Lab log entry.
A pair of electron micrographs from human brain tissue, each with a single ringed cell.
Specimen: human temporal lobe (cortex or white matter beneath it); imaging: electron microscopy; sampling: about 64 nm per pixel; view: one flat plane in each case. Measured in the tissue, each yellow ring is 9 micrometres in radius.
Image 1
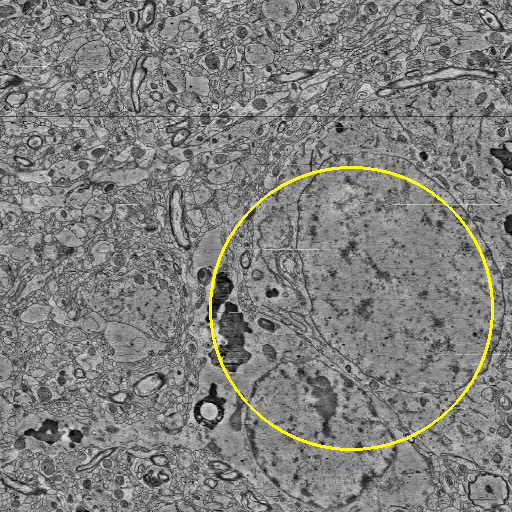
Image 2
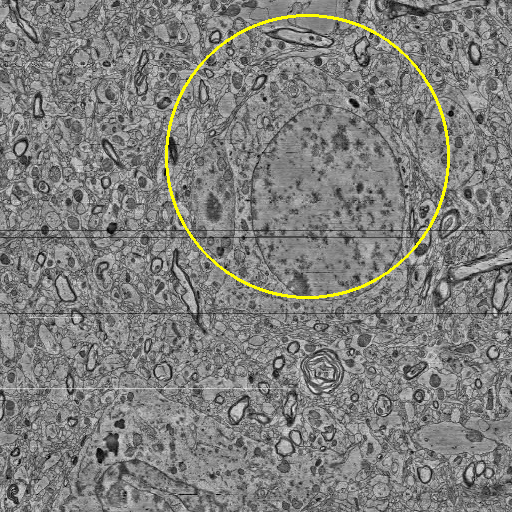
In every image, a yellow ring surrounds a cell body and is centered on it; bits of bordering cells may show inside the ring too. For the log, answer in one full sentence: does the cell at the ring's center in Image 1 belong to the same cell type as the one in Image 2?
Yes, the cells at the ring centers in Image 1 and Image 2 share one type.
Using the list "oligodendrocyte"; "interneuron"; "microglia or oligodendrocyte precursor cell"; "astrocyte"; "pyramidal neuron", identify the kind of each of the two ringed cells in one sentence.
In the first picture and in the second, the ring is centred on a pyramidal neuron.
